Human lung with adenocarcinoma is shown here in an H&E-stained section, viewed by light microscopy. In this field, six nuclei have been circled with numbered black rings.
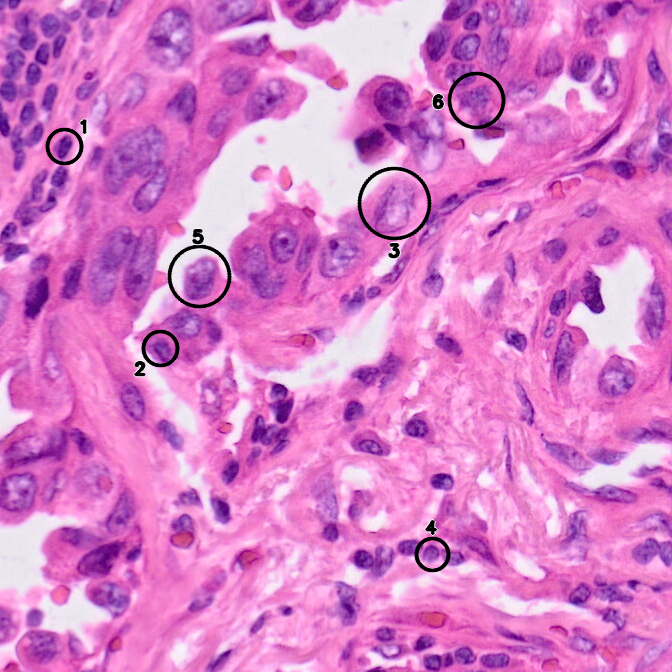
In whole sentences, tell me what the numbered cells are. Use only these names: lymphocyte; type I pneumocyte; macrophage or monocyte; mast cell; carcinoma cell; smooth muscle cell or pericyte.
Cells 1 and 4 are lymphocytes. Cells 2, 3, 5 and 6 are carcinoma cells.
